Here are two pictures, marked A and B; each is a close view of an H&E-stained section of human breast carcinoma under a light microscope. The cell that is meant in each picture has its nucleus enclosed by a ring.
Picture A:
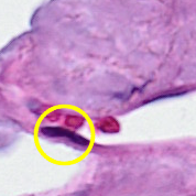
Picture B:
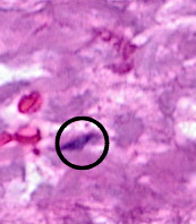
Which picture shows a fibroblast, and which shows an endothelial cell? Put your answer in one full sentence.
Picture B shows a fibroblast, while picture A shows an endothelial cell.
